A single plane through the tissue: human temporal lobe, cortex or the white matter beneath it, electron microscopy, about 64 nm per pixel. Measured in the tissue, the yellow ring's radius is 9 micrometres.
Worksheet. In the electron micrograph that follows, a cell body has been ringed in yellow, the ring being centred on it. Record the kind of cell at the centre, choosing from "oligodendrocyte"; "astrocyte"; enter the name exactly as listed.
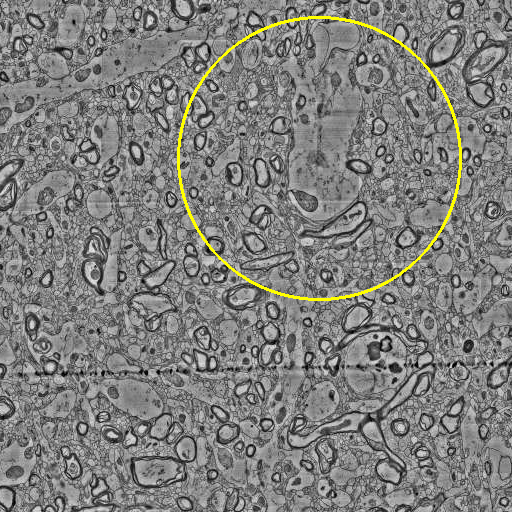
astrocyte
